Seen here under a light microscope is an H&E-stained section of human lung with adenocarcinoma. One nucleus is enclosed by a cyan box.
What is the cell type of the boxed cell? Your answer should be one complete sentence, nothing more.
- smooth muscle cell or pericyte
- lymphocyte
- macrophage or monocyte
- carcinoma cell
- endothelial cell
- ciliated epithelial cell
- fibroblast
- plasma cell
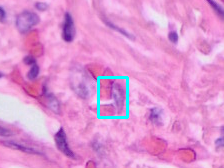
In this section, the boxed cell is an endothelial cell.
